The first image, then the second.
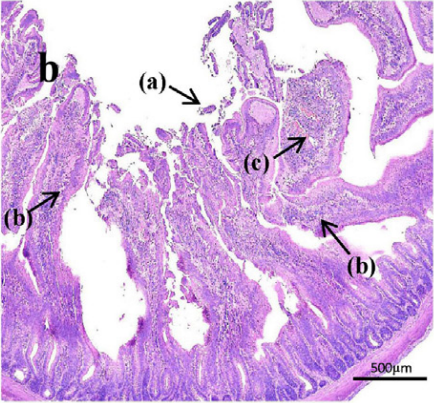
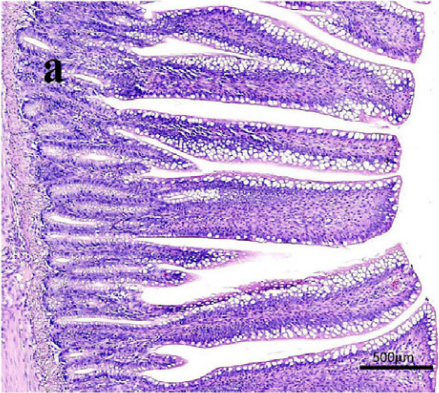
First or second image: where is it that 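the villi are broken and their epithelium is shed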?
The first image.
